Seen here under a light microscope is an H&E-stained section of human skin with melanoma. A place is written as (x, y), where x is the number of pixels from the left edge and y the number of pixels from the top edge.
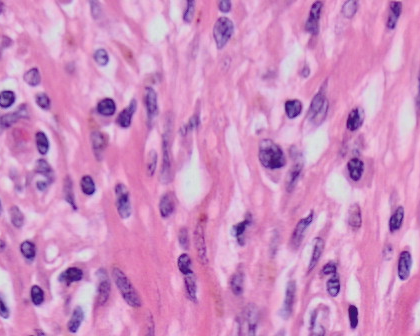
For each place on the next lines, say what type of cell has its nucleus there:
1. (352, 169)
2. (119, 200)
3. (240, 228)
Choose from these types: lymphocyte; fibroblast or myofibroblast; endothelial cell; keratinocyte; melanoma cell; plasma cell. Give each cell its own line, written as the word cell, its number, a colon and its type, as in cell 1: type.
cell 1: plasma cell
cell 2: lymphocyte
cell 3: lymphocyte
